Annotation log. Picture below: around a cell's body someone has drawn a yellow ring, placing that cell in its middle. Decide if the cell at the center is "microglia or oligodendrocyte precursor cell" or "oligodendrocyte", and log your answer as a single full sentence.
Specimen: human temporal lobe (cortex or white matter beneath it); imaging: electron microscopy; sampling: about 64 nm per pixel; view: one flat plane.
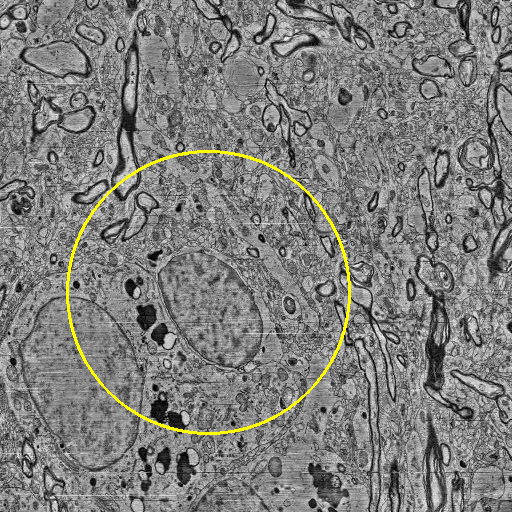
My entry records a microglial cell or oligodendrocyte precursor cell as the cell sitting at the center of the yellow ring.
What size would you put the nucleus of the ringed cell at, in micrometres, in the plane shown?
Clearly longer than it is wide in this plane, the nucleus measures roughly 8 by 5 micrometres.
